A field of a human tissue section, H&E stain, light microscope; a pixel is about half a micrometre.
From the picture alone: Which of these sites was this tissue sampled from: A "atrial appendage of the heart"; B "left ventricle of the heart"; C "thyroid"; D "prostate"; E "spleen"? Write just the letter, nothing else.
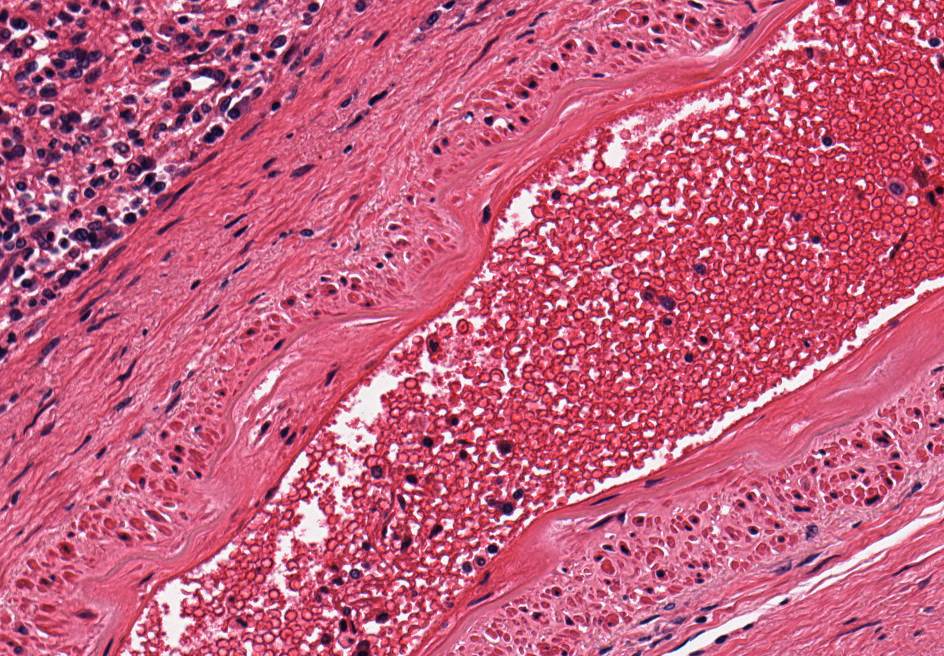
E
